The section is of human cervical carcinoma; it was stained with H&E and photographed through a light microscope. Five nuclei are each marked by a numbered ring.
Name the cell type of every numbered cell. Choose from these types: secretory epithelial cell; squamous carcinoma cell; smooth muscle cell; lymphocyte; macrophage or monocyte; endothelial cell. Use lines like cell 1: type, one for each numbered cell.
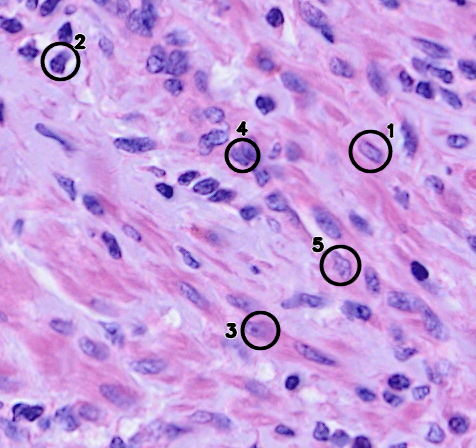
cell 1: smooth muscle cell
cell 2: lymphocyte
cell 3: smooth muscle cell
cell 4: endothelial cell
cell 5: endothelial cell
